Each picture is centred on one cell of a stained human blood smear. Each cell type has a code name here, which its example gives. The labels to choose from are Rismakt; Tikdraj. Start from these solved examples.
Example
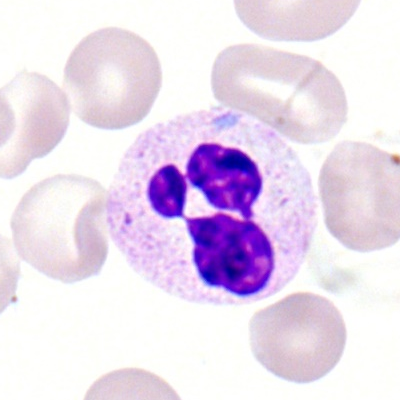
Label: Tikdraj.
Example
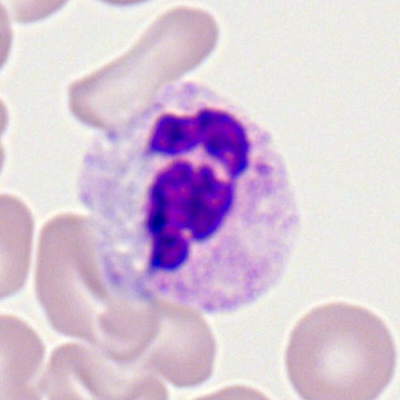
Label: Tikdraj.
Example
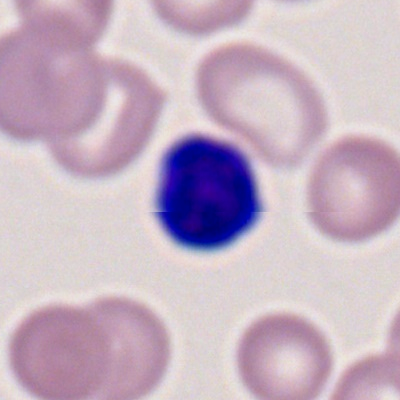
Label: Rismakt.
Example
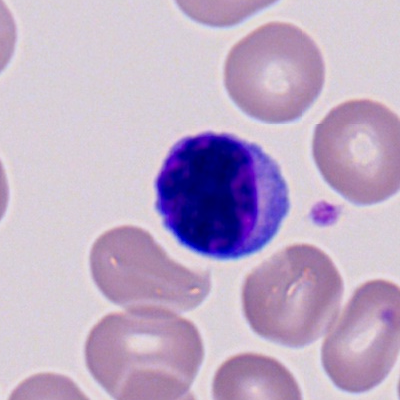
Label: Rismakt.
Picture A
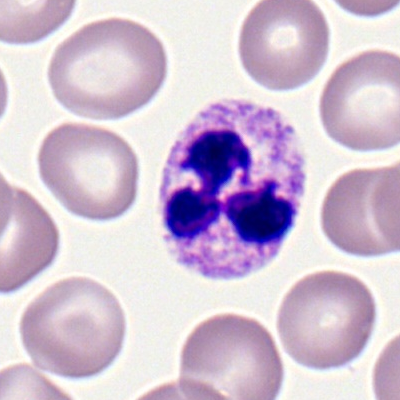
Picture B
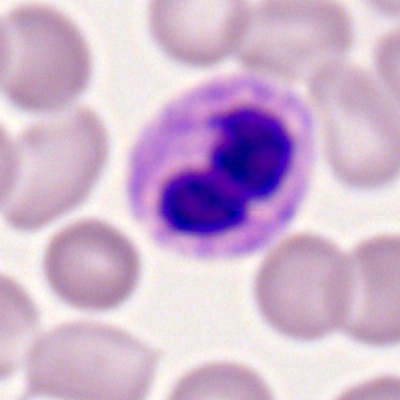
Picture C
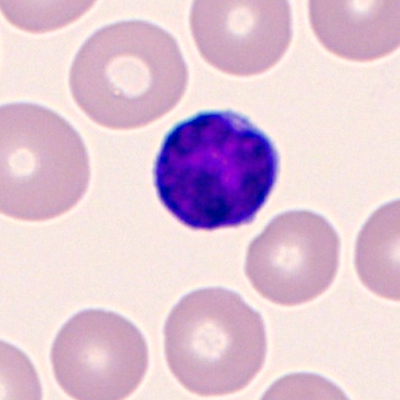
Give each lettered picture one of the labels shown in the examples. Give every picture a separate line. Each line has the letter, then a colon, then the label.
A: Tikdraj.
B: Tikdraj.
C: Rismakt.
